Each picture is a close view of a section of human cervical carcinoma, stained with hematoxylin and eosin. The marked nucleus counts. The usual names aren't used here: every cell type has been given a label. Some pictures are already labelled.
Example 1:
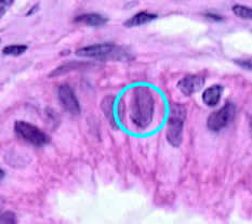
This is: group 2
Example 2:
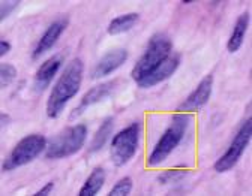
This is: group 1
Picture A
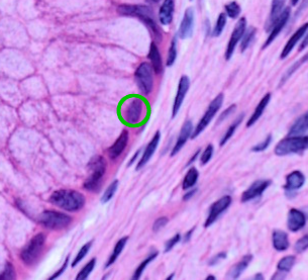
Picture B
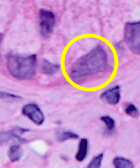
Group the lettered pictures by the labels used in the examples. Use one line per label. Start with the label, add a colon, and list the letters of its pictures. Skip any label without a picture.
group 2: A, B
